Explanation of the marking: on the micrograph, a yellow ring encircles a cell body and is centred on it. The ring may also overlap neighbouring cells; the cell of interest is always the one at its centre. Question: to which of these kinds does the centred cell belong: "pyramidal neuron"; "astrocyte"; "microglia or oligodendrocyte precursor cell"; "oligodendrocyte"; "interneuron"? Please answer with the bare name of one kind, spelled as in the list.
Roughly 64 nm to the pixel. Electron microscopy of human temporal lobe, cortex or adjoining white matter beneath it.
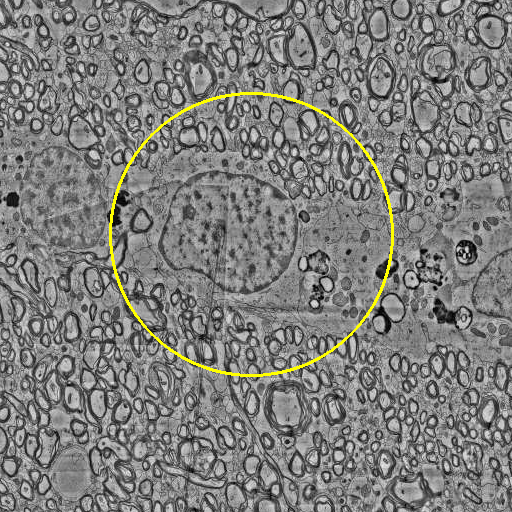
microglia or oligodendrocyte precursor cell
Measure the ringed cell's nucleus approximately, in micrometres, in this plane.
The nucleus appears about 9 micrometres across in this plane.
